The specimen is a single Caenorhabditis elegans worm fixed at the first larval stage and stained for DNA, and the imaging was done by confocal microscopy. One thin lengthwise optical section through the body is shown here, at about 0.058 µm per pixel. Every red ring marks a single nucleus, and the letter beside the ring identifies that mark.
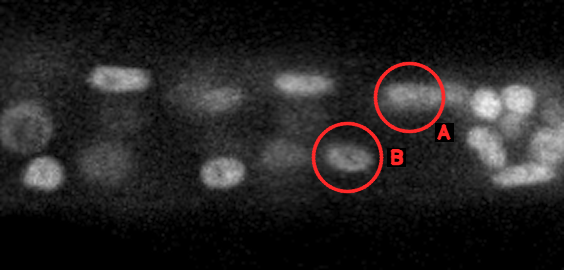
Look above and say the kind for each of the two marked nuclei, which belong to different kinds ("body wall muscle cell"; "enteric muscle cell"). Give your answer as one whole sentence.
The nucleus A is that of an enteric muscle cell, while B is that of a body wall muscle cell.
